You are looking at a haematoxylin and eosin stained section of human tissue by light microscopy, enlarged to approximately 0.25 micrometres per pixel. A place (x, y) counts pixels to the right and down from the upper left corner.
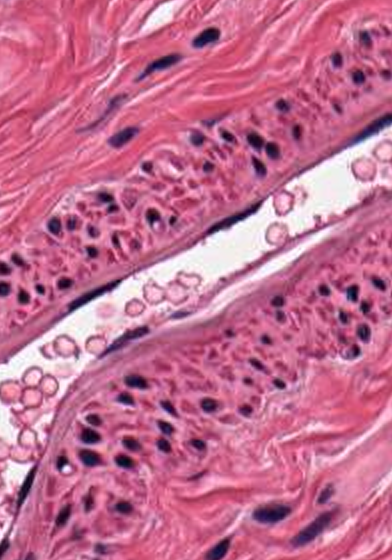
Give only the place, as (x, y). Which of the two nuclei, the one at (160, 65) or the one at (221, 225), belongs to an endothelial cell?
(221, 225)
